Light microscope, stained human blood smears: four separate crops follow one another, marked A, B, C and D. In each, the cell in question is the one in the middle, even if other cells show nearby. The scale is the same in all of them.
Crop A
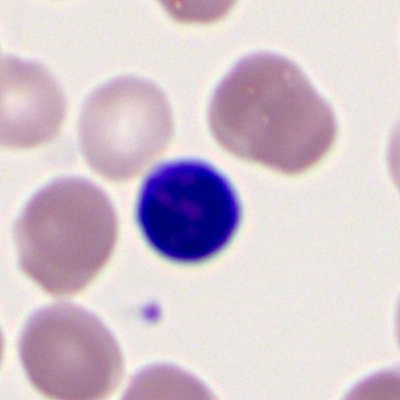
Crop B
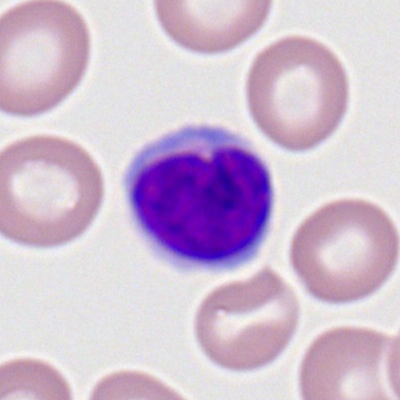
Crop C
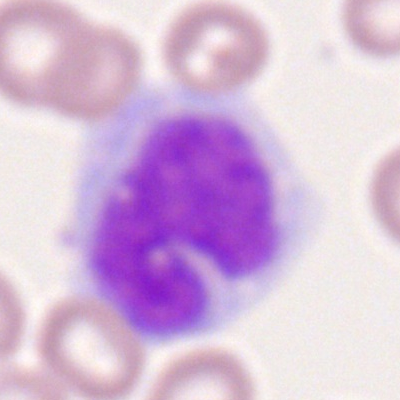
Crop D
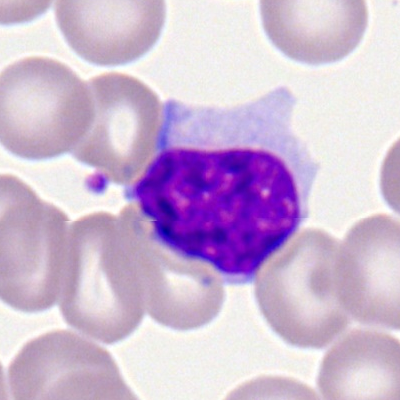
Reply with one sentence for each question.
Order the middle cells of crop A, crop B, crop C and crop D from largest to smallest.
Largest first: C, D, B, A.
